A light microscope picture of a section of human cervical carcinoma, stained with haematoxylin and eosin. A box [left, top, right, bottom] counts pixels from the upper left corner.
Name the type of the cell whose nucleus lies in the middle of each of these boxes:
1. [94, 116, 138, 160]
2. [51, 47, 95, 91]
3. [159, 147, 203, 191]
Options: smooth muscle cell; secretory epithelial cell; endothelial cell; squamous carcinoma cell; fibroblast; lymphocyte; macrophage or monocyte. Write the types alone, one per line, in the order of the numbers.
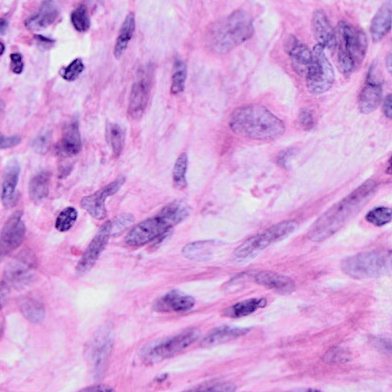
fibroblast
lymphocyte
fibroblast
